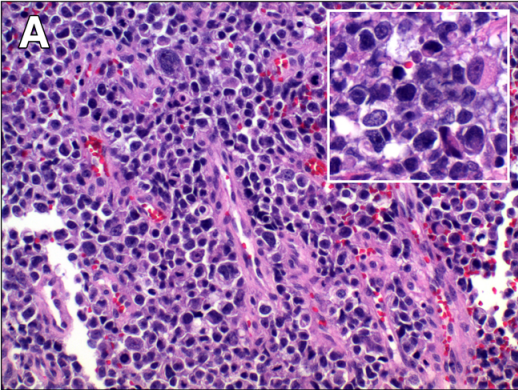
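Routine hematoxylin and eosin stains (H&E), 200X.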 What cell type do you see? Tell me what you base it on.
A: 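Sheets of densely packed, separate round cells fill the field. Cells have dark, round nuclei with scant cytoplasm. Thin vessels run between the cell sheets. The answer: discohesive neoplastic cells.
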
